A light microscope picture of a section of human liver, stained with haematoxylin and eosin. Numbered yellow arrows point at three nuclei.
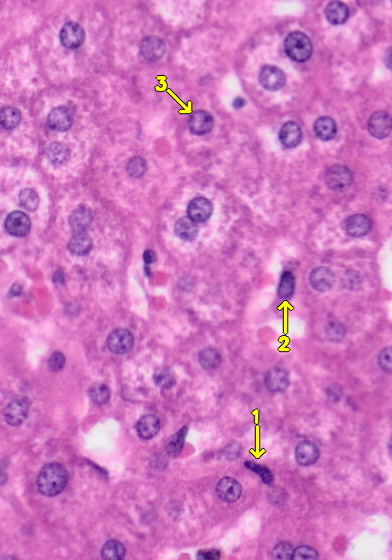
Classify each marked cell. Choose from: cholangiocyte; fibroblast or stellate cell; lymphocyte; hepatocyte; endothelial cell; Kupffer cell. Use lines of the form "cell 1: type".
cell 1: fibroblast or stellate cell
cell 2: Kupffer cell
cell 3: hepatocyte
